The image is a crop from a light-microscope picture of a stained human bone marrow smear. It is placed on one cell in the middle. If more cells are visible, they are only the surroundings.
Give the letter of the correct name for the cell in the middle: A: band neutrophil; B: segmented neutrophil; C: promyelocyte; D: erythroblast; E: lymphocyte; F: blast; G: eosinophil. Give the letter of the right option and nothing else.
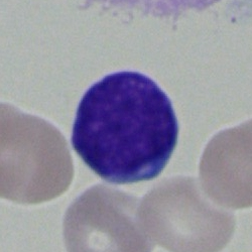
E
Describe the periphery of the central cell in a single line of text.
The edge of the cell is unbroken and smooth, bearing no projections.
